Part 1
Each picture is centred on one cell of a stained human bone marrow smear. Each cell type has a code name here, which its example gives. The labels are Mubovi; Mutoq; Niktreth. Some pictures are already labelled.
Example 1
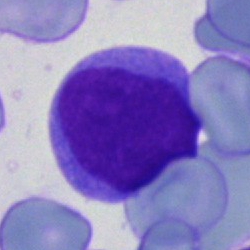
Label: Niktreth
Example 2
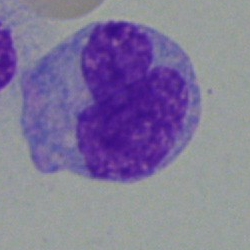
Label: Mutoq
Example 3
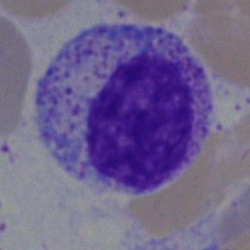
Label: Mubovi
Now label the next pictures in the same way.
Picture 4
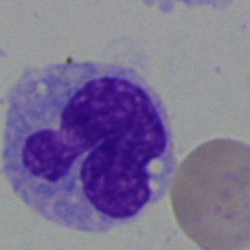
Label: Mutoq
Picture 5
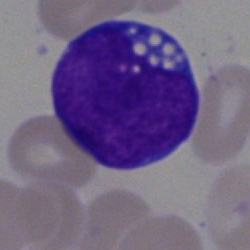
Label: Niktreth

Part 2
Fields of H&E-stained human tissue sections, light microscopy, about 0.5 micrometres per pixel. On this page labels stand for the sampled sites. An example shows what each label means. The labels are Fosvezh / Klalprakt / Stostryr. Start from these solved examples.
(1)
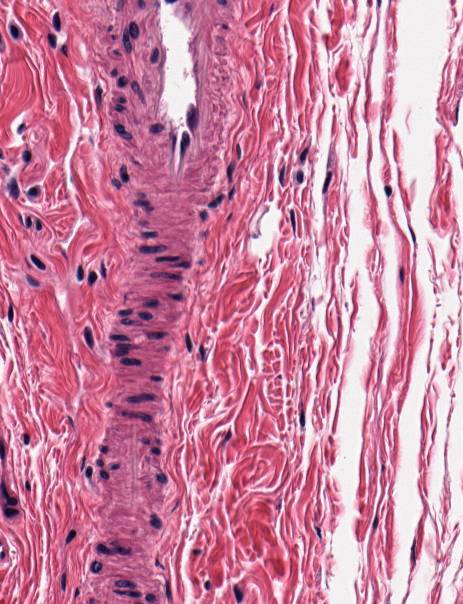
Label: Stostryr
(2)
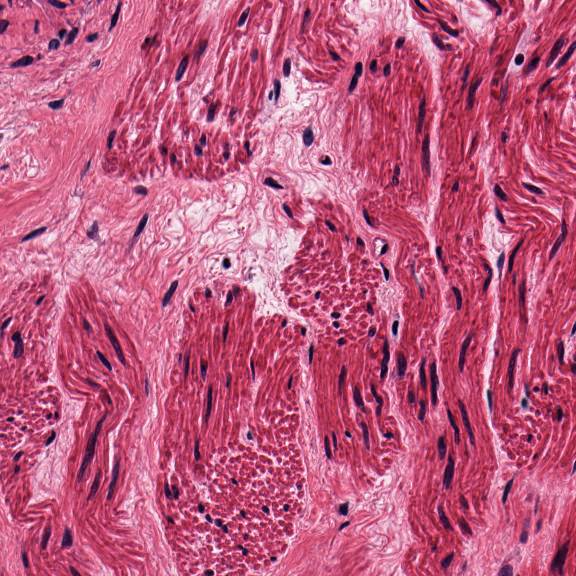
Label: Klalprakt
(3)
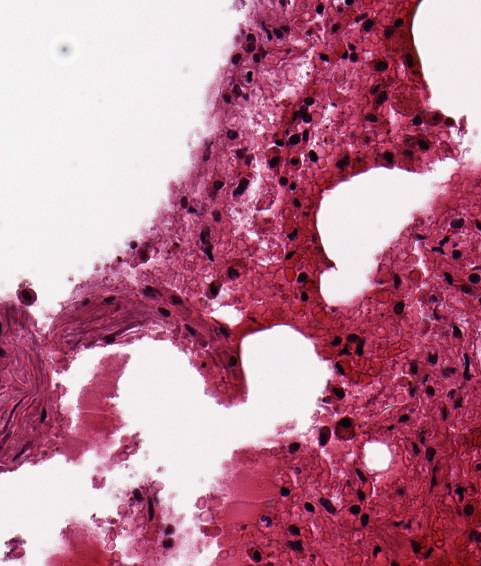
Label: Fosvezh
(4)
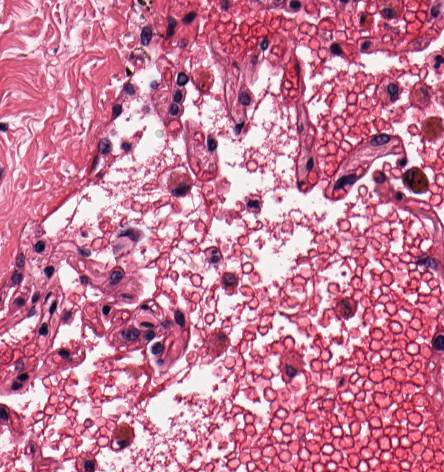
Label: Fosvezh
